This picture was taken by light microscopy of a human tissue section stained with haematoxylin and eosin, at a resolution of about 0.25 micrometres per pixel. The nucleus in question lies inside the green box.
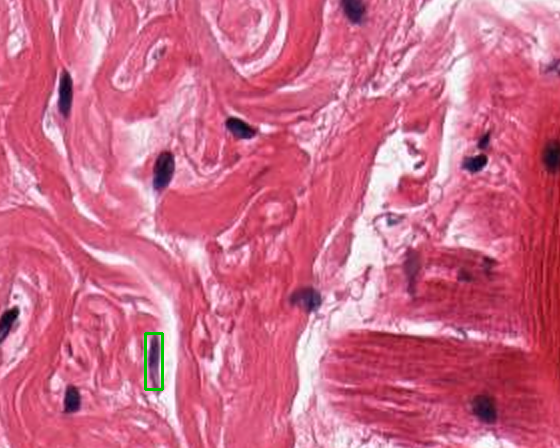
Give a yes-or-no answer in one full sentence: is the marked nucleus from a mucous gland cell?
No, the cell bearing the marked nucleus is not a mucous gland cell but a supporting cell.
